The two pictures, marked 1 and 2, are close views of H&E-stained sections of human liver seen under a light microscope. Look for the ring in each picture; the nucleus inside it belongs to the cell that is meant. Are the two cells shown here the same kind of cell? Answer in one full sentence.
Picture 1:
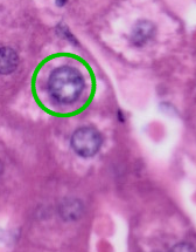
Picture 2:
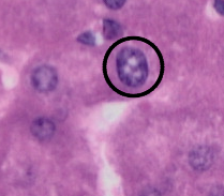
Yes, they are the same type: both are hepatocytes.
